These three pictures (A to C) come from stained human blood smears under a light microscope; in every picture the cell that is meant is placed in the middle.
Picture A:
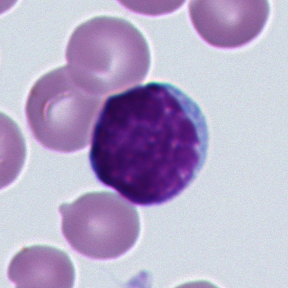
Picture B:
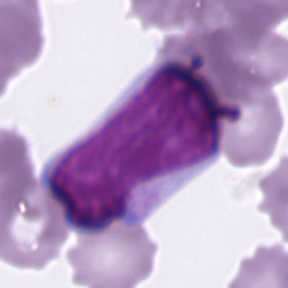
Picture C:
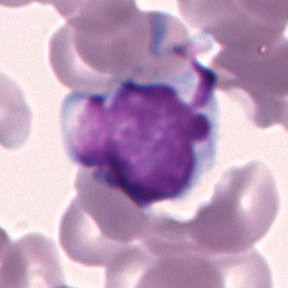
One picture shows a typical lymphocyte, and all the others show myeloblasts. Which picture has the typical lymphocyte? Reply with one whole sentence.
The typical lymphocyte is the one in picture A.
